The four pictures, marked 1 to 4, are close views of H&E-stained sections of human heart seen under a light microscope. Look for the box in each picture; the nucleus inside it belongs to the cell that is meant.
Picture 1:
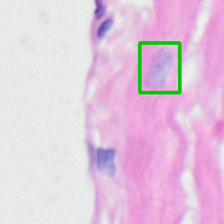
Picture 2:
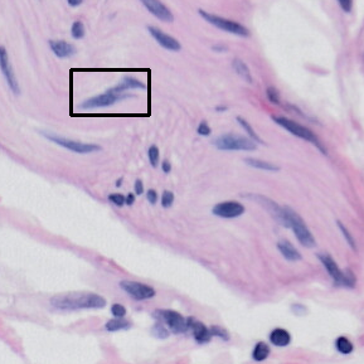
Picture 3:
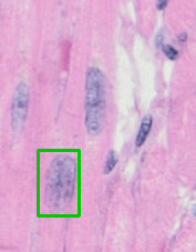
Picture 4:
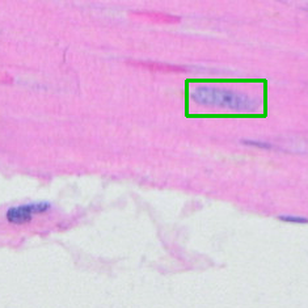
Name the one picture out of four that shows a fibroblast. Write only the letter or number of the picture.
2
